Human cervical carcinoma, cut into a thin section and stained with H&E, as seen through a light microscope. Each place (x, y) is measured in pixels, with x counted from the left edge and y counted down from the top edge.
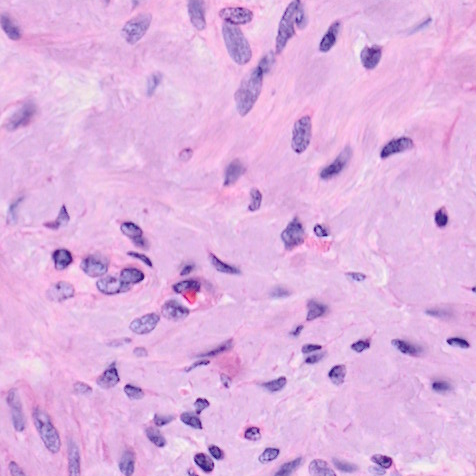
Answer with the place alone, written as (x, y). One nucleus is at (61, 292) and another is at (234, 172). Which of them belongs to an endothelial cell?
(61, 292)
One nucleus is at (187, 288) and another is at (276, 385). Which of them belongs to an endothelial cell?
(187, 288)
